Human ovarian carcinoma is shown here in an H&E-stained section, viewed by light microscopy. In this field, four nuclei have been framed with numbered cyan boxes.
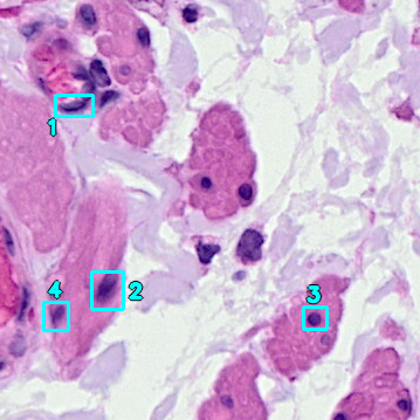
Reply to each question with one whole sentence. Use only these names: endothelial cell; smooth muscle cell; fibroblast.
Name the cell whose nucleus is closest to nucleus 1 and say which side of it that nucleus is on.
Lying above and to the right of nucleus 1, the nearest nucleus is that of an endothelial cell.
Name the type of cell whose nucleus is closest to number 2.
The nucleus nearest to number 2 is that of a smooth muscle cell.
